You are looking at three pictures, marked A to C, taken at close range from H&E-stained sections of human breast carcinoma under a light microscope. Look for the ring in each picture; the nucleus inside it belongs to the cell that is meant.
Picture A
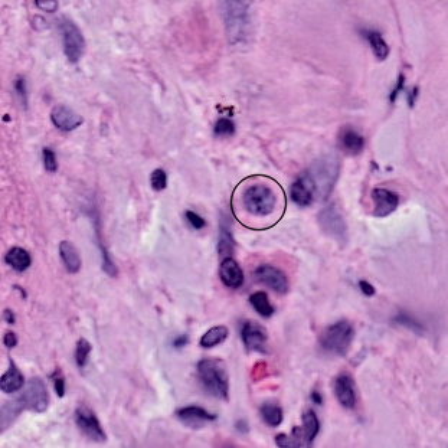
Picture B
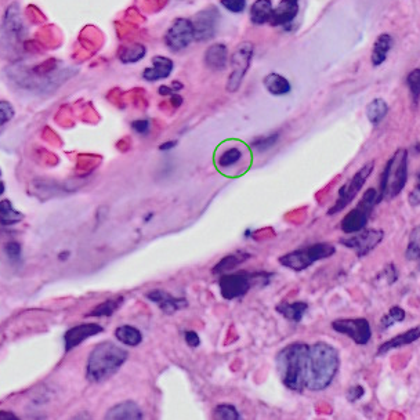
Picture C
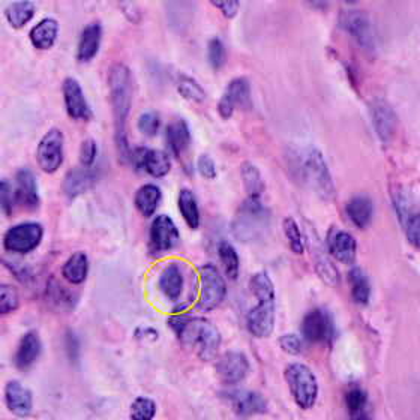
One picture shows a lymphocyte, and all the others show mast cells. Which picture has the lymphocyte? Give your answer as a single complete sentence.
It is picture C that shows the lymphocyte.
